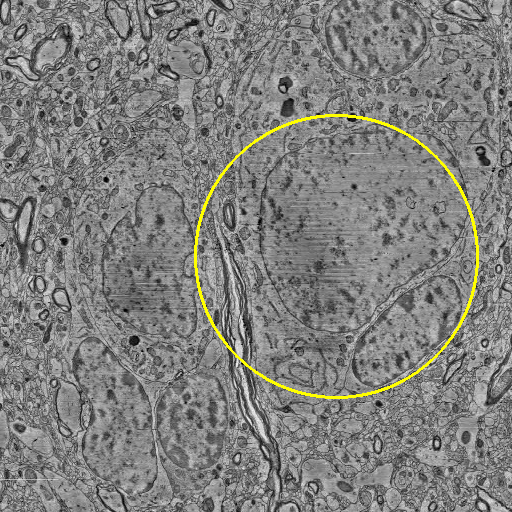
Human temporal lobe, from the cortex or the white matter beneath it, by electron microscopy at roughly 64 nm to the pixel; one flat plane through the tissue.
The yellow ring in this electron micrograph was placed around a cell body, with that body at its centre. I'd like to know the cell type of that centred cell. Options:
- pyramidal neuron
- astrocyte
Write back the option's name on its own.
pyramidal neuron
